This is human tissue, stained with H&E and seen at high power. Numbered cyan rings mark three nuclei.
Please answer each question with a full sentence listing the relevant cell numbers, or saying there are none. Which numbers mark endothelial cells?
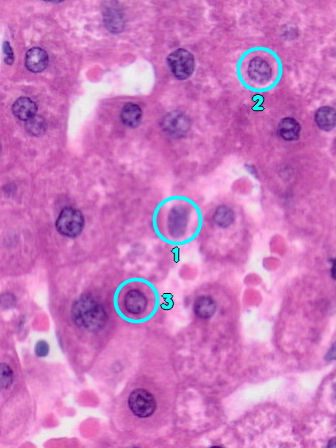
There is only one numbered cell that is an endothelial cell, and it is cell 1.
